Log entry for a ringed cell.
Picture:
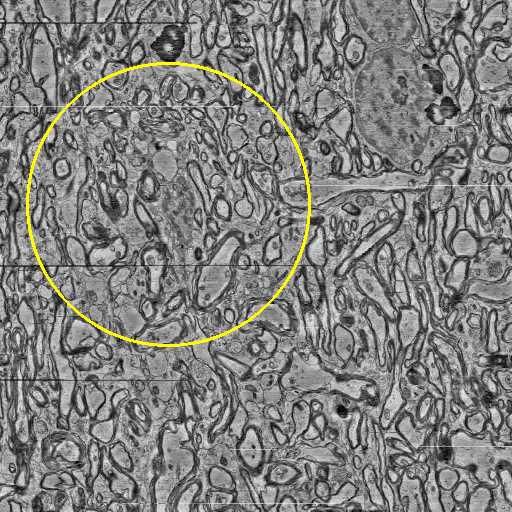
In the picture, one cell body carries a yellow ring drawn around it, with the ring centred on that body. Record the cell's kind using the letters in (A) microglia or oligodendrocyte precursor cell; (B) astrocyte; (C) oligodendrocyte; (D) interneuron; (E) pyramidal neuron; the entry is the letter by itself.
B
